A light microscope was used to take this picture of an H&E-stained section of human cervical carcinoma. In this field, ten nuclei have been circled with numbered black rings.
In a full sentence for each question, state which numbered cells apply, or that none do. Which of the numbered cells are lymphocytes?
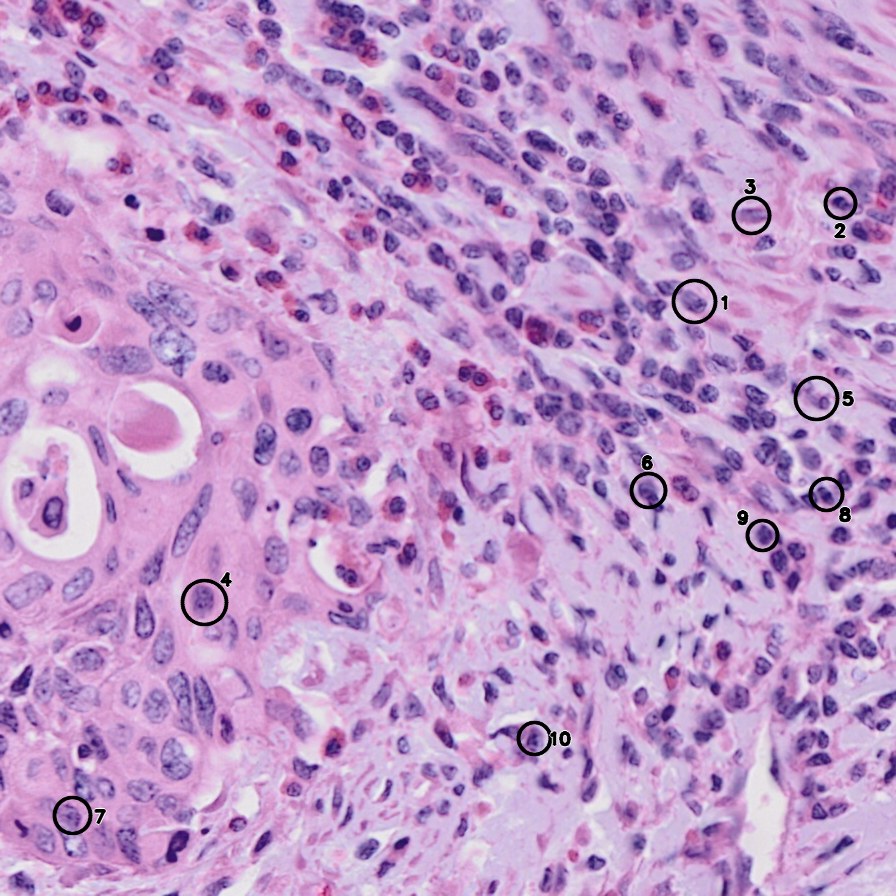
The cells that have been numbered 1, 2, 6, 8, 9 and 10 are lymphocytes.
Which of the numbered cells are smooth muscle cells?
Cell 3 is a smooth muscle cell, and this holds for no other numbered cell.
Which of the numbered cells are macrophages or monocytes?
Cell number 5 alone is a macrophage or monocyte; the rest are not.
